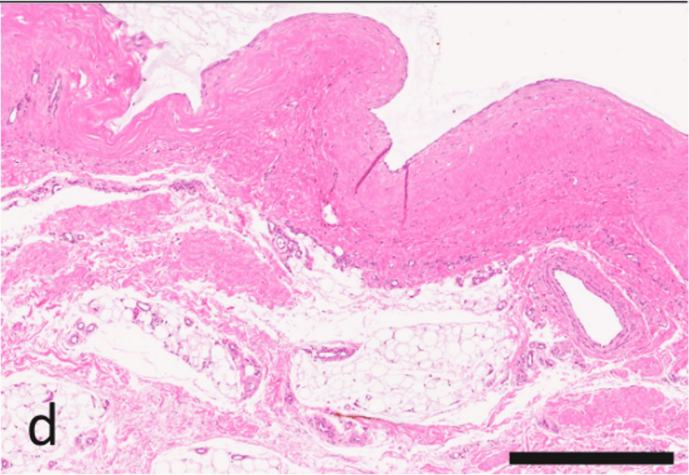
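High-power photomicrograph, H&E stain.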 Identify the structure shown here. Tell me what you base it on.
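Fibrous cyst wall lacking an epithelial lining. A thick band of dense pink collagenous tissue borders an empty space. The surface facing the space has no layer of lining cells. Loose tissue with fat cells and small vessels lies beneath the dense band.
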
